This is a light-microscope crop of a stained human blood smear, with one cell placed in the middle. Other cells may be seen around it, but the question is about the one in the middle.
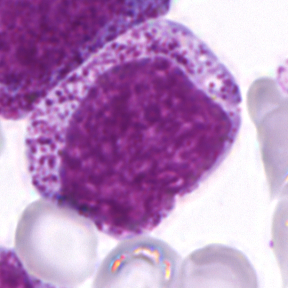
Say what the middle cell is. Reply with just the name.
promyelocyte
